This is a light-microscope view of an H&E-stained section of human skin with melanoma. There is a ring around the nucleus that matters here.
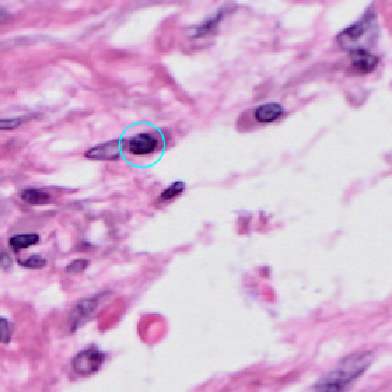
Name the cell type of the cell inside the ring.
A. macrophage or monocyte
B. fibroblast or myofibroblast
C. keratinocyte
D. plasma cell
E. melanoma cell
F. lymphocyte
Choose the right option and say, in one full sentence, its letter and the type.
As stated in option D, the cell inside the ring is a plasma cell.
